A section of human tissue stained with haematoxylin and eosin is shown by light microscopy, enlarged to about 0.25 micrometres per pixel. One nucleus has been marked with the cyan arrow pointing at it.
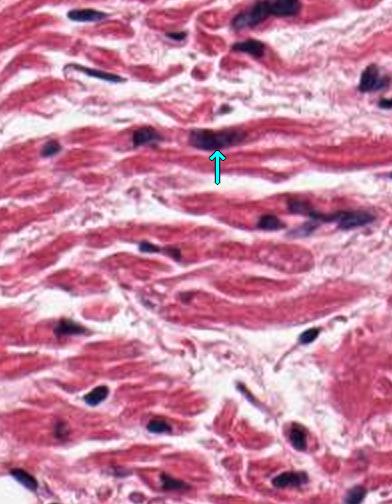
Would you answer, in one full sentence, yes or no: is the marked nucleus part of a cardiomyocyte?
Yes, the marked nucleus is a nucleus of a cardiomyocyte.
